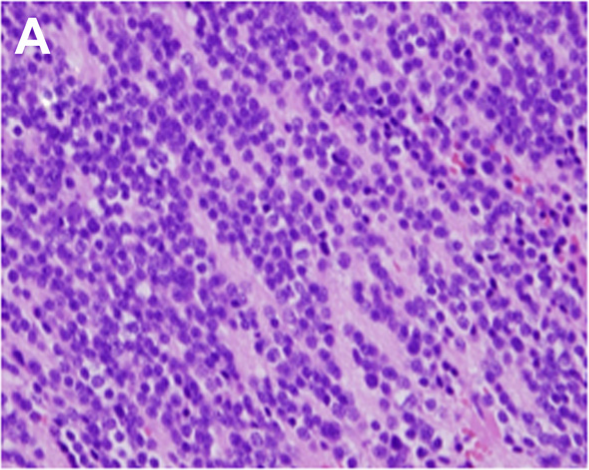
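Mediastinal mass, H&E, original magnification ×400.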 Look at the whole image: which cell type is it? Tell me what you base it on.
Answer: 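Small- to medium-sized round cells. Densely packed cells with small round dark-purple nuclei. Very little cytoplasm around each nucleus. The cells look much alike throughout the field.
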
